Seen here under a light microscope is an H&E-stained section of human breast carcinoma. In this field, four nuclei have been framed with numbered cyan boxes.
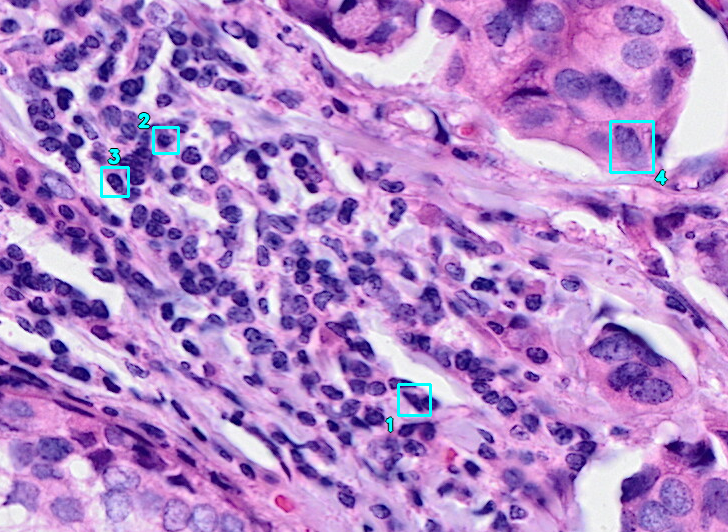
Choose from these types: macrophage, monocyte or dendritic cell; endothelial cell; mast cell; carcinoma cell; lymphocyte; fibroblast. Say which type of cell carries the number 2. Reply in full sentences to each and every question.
Cell number 2 in this section is a lymphocyte.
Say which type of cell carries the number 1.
Within this field of view, the cell labelled 1 is a lymphocyte.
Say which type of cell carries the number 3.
The cell to which the number 3 is assigned is a lymphocyte.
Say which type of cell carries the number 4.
The cell that goes by number 4 is a carcinoma cell.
